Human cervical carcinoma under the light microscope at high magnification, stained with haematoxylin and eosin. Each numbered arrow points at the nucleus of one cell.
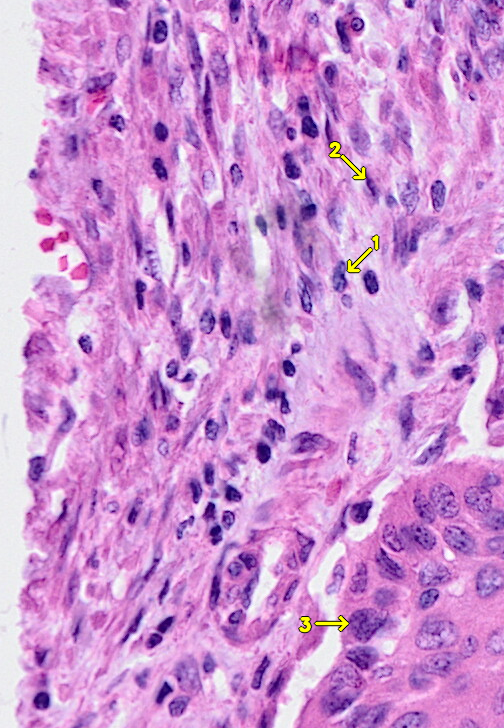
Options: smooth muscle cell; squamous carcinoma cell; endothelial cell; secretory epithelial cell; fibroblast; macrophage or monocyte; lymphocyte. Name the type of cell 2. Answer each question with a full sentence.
The cell to which the number 2 is assigned is a fibroblast.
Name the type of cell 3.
The numeral 3 marks a squamous carcinoma cell in this section.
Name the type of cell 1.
Numbered cell 1 is a lymphocyte in this tissue section.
